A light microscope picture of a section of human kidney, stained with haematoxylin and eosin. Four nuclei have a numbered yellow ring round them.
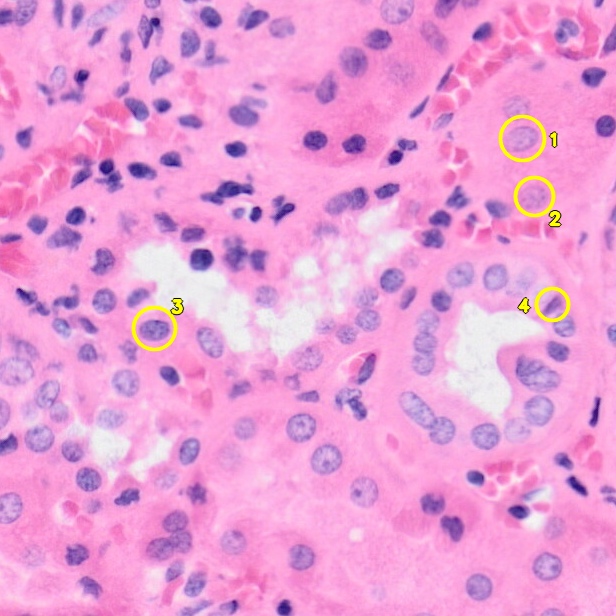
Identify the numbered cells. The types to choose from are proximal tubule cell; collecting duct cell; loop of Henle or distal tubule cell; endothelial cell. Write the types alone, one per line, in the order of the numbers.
proximal tubule cell
proximal tubule cell
loop of Henle or distal tubule cell
collecting duct cell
